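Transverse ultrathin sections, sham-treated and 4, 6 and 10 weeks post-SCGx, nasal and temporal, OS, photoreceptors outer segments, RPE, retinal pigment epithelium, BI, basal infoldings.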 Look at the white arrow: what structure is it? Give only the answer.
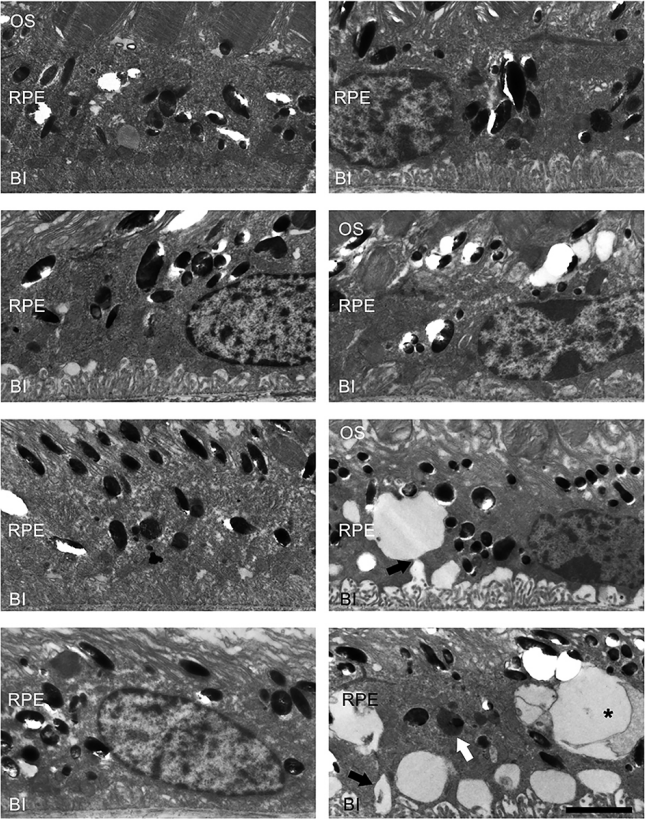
Granules of middle-high electron-density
